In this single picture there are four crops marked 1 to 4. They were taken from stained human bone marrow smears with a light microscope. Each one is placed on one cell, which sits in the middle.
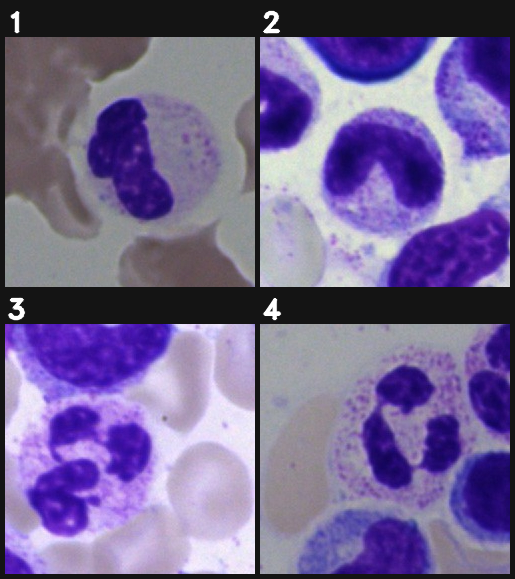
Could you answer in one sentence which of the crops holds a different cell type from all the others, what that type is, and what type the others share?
The single exception is crop 2, which is a band neutrophil; all other crops show segmented neutrophils.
